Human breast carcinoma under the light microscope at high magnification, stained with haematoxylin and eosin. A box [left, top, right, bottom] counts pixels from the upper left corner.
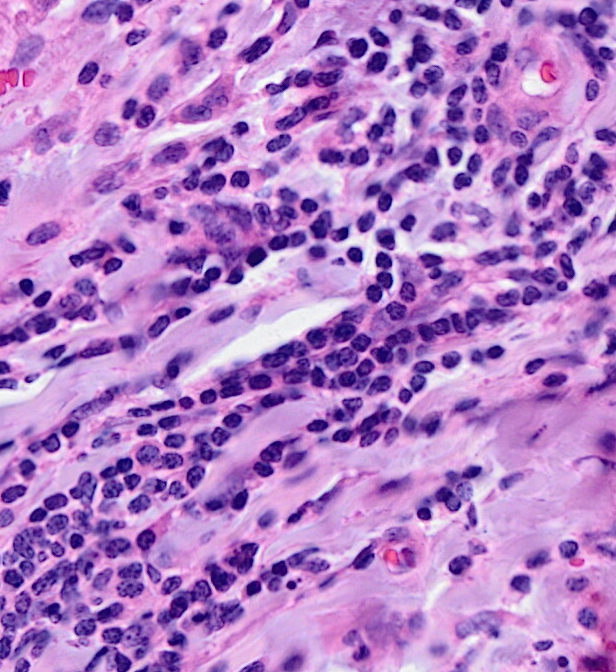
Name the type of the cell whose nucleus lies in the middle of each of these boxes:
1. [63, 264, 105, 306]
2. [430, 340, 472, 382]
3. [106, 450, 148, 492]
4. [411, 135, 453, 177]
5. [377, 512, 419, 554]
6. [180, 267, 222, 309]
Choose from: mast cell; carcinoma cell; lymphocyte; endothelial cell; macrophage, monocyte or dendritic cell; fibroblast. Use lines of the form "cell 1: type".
cell 1: mast cell
cell 2: lymphocyte
cell 3: lymphocyte
cell 4: lymphocyte
cell 5: endothelial cell
cell 6: lymphocyte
